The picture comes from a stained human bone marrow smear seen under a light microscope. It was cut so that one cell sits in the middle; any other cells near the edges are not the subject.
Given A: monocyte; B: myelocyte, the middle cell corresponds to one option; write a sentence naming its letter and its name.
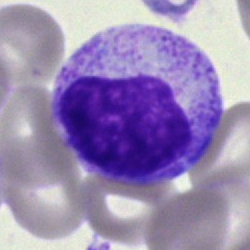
Correctly, option B names the cell in the middle a myelocyte.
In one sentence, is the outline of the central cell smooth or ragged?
Smooth all around, the outline has no projections to report.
